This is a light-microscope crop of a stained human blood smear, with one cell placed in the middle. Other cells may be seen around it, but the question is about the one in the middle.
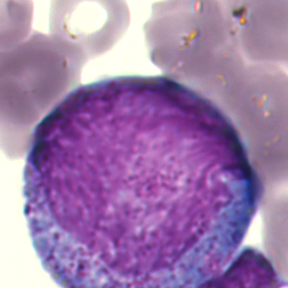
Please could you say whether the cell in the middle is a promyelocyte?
yes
